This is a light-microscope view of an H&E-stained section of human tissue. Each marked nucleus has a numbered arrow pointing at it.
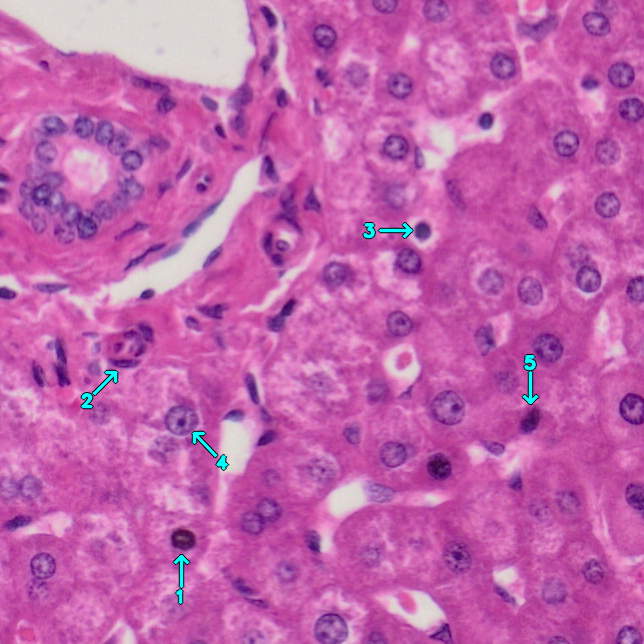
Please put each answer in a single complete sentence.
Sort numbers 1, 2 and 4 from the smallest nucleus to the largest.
The order from the smallest nucleus to the largest is 2, 1, 4.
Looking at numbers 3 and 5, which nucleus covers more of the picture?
It is nucleus 5, which covers about 1.5 times the area of nucleus 3.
